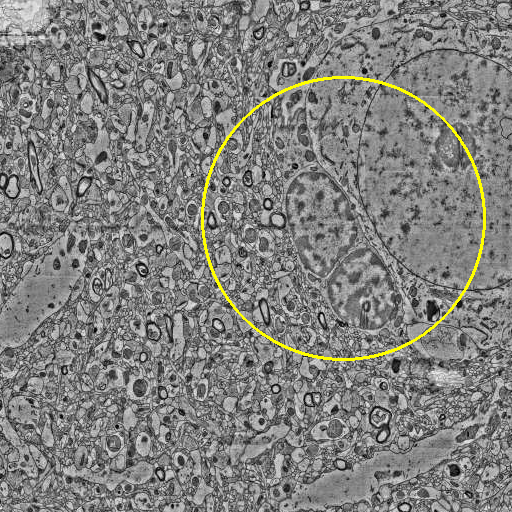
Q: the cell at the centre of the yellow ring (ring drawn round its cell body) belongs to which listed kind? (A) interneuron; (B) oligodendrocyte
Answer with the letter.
B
